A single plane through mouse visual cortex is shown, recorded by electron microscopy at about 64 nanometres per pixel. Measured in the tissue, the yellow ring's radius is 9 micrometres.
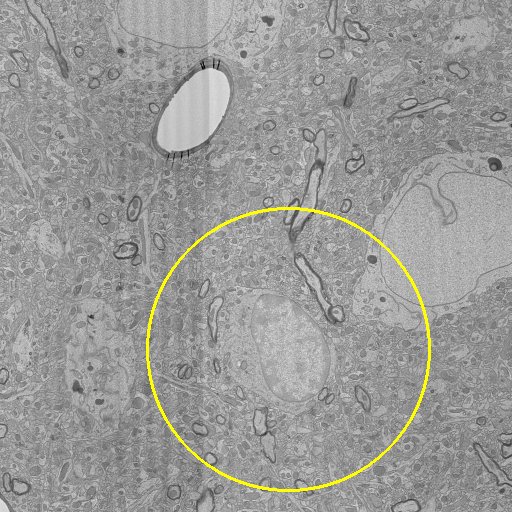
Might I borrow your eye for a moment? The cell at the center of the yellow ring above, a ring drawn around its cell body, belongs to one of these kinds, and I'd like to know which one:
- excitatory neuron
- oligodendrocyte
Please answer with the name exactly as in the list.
oligodendrocyte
